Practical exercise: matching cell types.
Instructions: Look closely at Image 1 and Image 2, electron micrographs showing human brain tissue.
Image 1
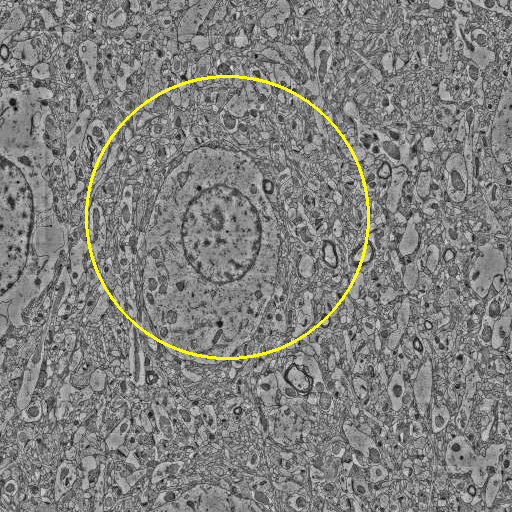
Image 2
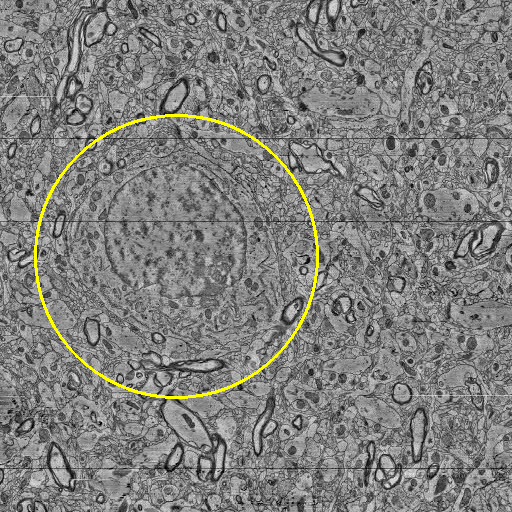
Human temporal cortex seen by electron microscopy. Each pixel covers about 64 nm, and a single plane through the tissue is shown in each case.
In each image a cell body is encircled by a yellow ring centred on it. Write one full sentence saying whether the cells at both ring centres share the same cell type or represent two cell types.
Across Image 1 and Image 2, the cells at the ring centres represent two cell types.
